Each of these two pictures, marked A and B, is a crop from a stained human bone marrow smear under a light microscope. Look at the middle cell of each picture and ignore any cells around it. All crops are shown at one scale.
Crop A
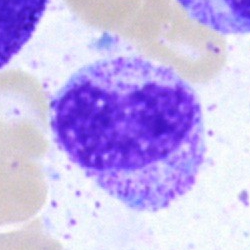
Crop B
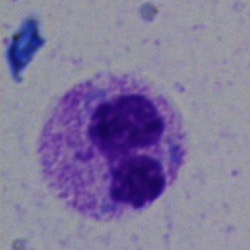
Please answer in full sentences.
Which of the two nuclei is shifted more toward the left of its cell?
It is the nucleus in crop A that lies further toward the left of its cell.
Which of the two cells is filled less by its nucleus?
Of the two, the nucleus in crop B leaves more room for cytoplasm.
